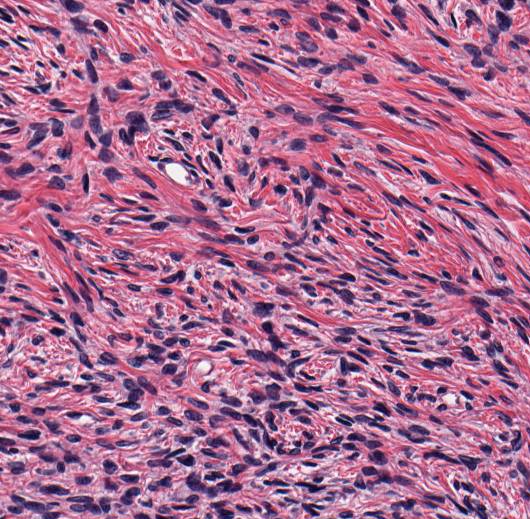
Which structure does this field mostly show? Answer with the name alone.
ovarian cortex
